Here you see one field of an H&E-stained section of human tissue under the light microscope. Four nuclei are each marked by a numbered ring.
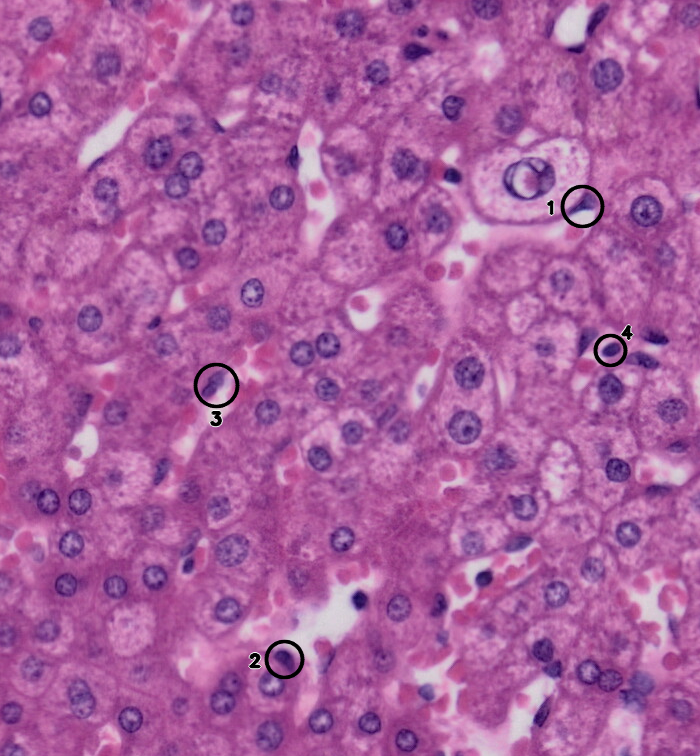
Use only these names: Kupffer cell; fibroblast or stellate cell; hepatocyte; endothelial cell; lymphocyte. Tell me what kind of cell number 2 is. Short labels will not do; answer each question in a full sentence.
The nucleus labelled 2 belongs to a fibroblast or stellate cell.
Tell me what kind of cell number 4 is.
Cell 4 in the field is a lymphocyte.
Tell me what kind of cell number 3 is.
Within this field of view, the cell labelled 3 is a Kupffer cell.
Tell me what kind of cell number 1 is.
The cell referred to as 1 is an endothelial cell.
